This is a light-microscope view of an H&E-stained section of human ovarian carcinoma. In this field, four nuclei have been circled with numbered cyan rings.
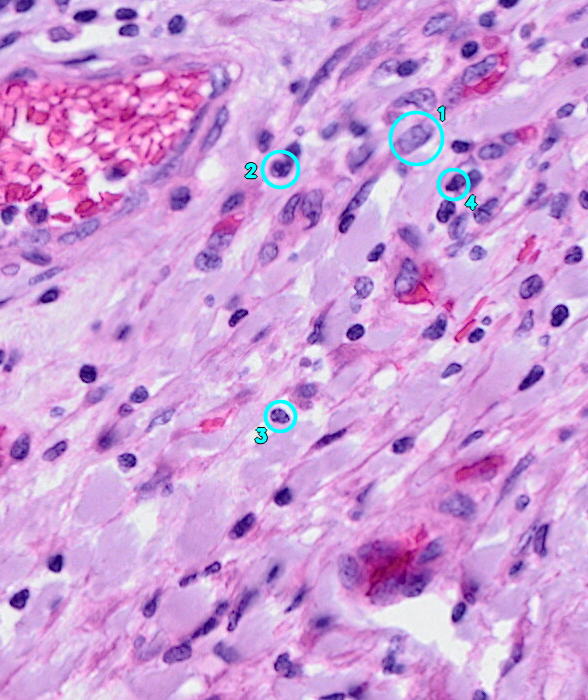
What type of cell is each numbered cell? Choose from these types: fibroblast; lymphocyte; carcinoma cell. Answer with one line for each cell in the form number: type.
1: fibroblast
2: lymphocyte
3: lymphocyte
4: lymphocyte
